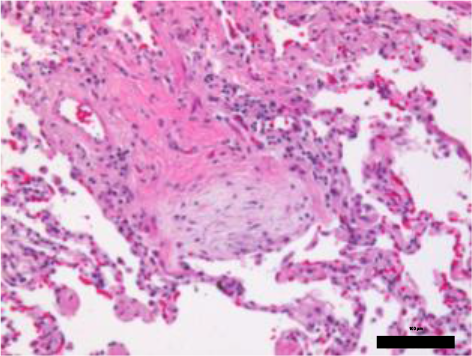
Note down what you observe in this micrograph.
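This is fibrotic lung with a fibroblastic focus lying against mature scar. Away from the fibrosis, the alveolar walls are thin pink septa with purple nuclei around open white air spaces, giving the typical lacy lung pattern, while the fibrotic area has lost that architecture.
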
